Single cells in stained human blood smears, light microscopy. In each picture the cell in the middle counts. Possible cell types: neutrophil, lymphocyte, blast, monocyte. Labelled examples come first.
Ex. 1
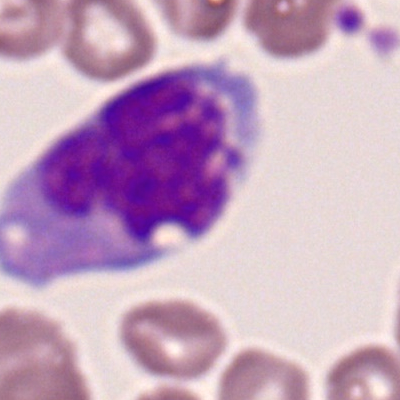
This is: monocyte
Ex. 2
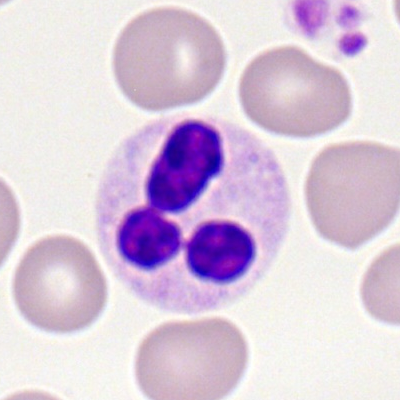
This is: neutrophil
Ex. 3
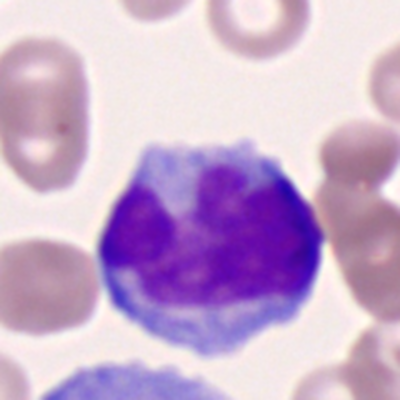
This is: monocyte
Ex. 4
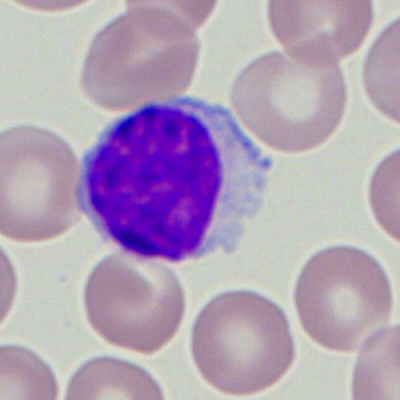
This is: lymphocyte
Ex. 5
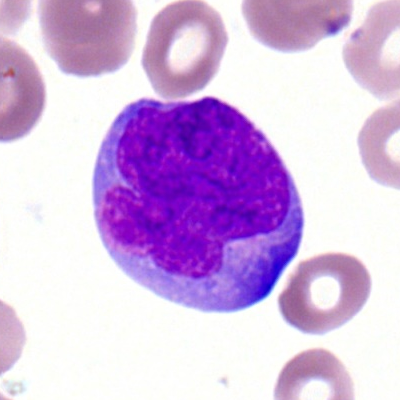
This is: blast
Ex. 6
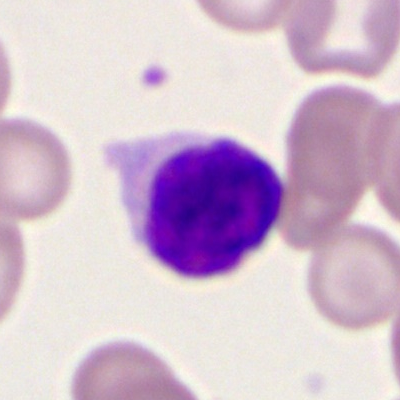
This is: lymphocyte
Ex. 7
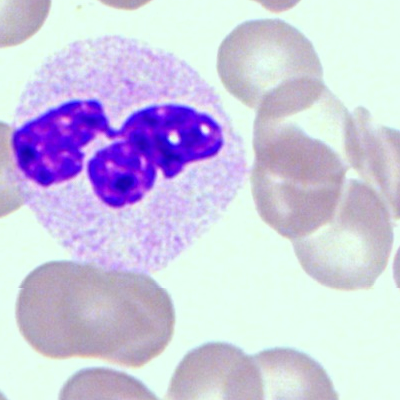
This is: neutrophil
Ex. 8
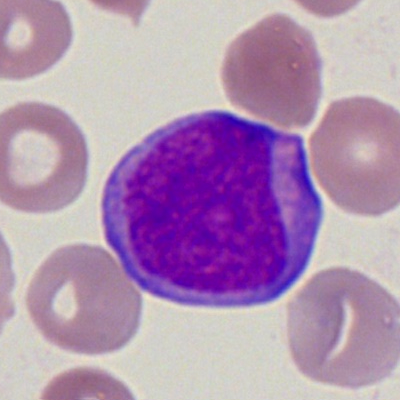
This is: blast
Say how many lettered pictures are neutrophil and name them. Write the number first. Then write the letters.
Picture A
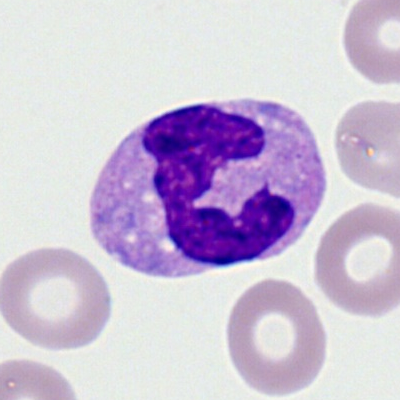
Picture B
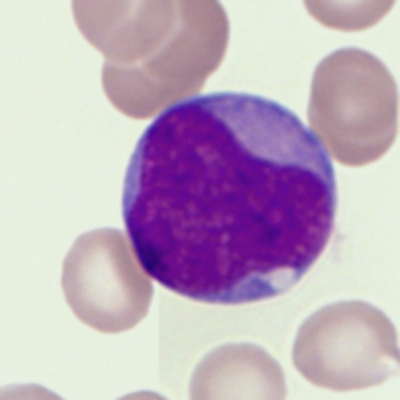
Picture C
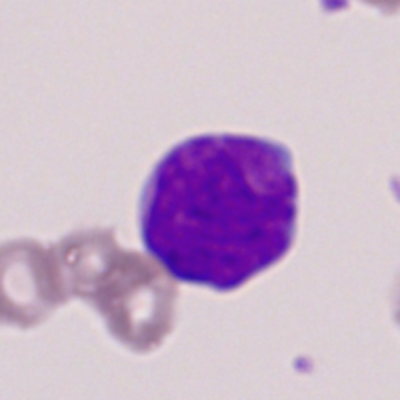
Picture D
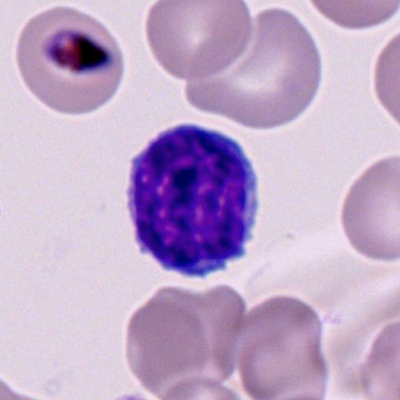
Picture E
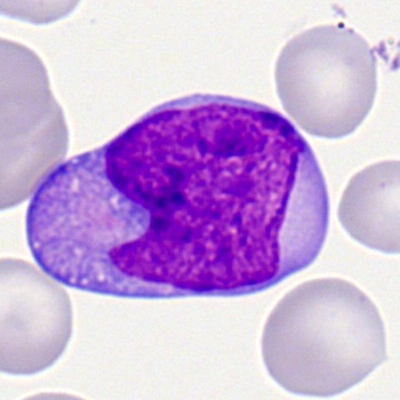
Count: 1 (A)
